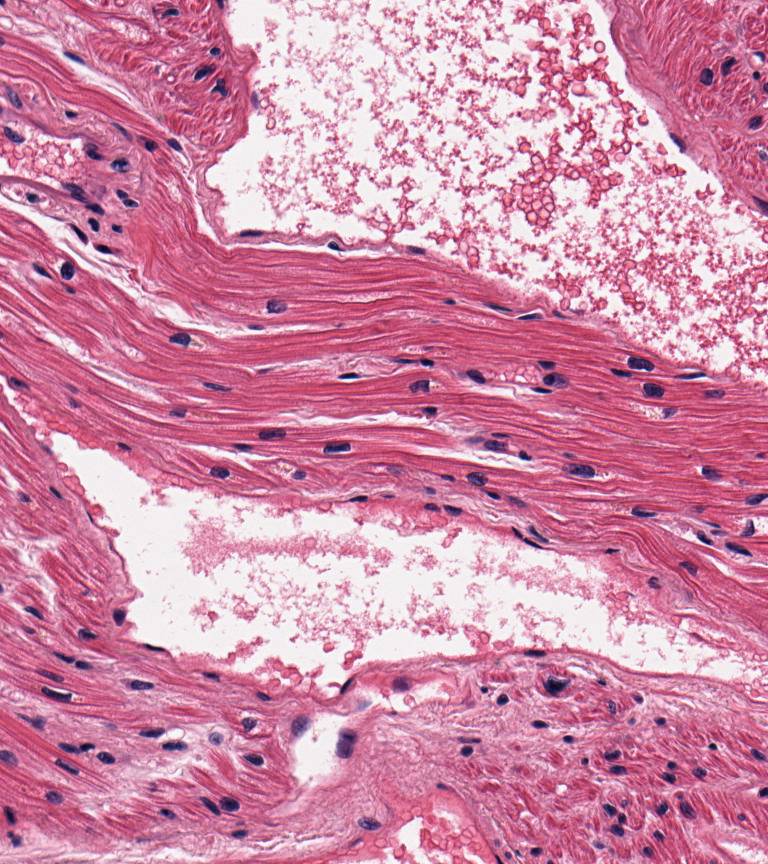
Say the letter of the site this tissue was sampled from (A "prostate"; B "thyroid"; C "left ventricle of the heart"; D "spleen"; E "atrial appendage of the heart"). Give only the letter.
E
